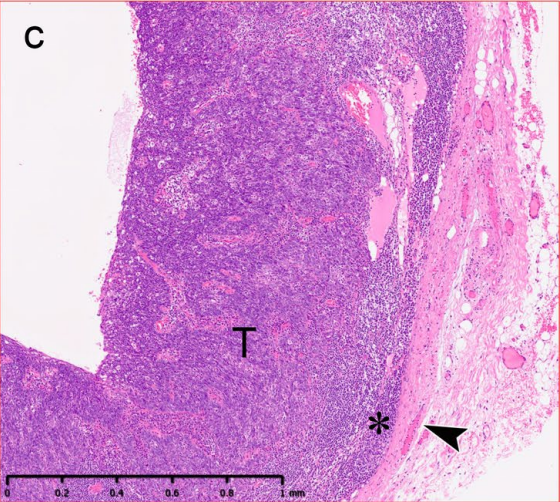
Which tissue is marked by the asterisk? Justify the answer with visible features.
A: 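A band of densely packed small cells with dark round nuclei lies beside the asterisk. This band lies between the large purple tumor mass and the pale pink fibrous layer at the right.
Preserved lymphoid tissue.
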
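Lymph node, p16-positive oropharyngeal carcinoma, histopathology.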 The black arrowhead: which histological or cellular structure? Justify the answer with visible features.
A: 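The arrowhead points to a broad pale pink fibrous band at the right edge of the node. Beyond this band lie empty-looking fat cells and small vessels. The answer: thickened capsule.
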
